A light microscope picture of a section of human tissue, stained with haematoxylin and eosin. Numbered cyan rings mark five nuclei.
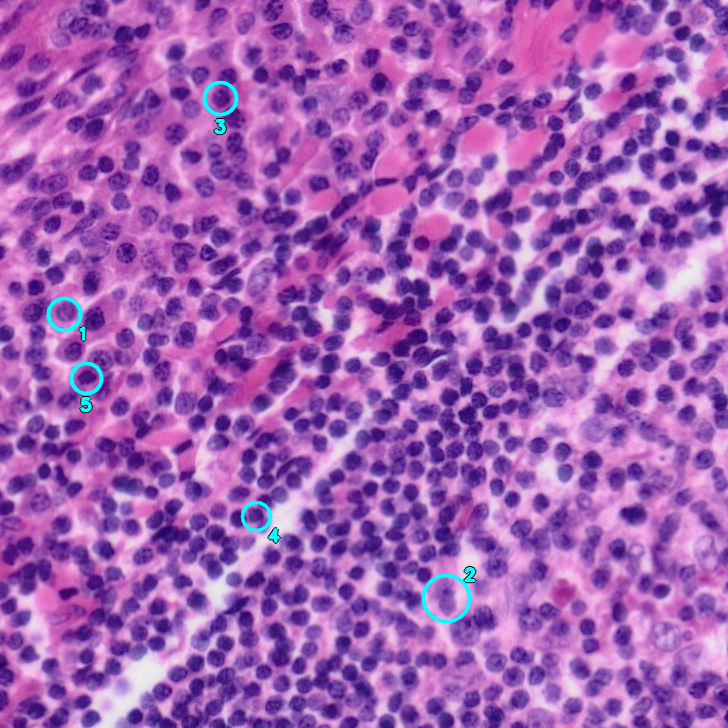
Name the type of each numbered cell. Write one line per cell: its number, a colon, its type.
1: plasma cell
2: proliferating B cell
3: plasma cell
4: small lymphocyte
5: plasma cell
